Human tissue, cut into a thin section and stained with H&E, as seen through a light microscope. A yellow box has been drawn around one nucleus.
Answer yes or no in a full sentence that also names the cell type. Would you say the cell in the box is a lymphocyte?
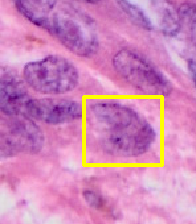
No, the cell in the box is to be classified as a melanoma cell rather than a lymphocyte.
